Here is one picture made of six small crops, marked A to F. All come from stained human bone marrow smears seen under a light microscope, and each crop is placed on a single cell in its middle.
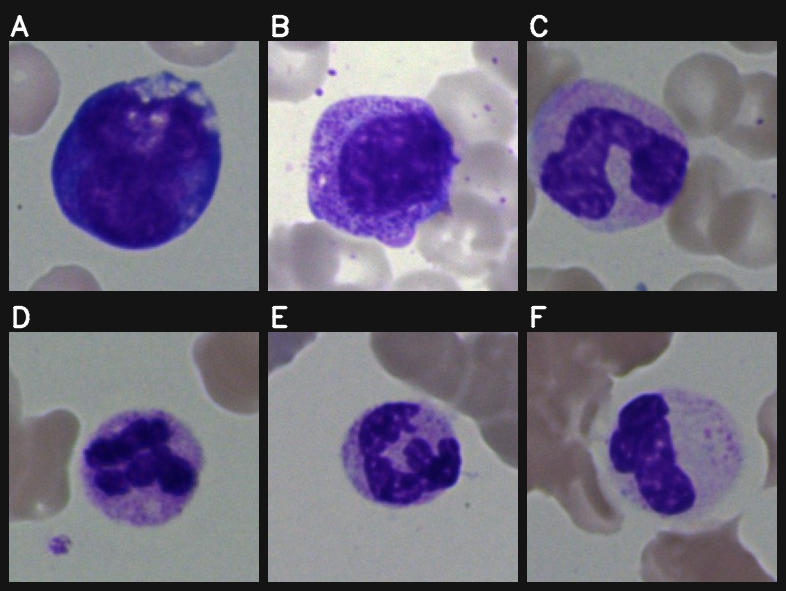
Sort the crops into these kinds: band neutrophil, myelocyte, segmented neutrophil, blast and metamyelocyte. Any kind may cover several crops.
A: blast
B: myelocyte
C: band neutrophil
D: segmented neutrophil
E: segmented neutrophil
F: segmented neutrophil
